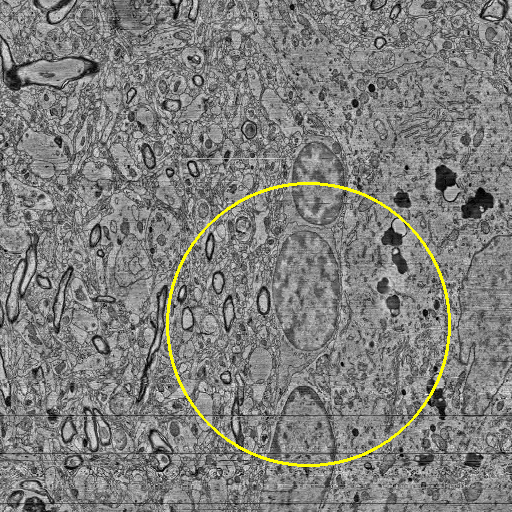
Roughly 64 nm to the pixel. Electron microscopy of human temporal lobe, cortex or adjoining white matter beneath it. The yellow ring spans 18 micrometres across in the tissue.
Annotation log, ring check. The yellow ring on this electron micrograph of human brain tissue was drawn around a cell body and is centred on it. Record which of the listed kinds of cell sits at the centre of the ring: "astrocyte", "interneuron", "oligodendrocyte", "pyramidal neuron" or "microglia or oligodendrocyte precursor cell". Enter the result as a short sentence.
The cell at the centre of the ring is an oligodendrocyte.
